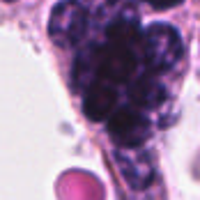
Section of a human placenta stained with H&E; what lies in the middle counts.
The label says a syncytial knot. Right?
Right.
